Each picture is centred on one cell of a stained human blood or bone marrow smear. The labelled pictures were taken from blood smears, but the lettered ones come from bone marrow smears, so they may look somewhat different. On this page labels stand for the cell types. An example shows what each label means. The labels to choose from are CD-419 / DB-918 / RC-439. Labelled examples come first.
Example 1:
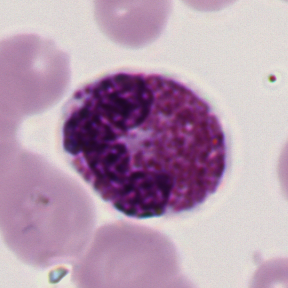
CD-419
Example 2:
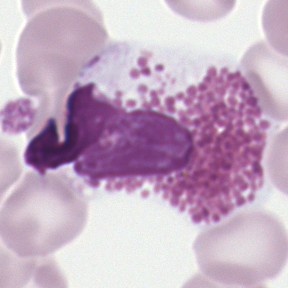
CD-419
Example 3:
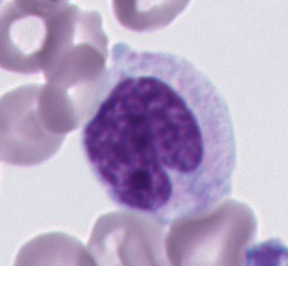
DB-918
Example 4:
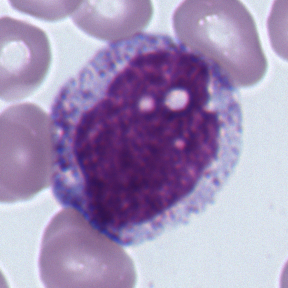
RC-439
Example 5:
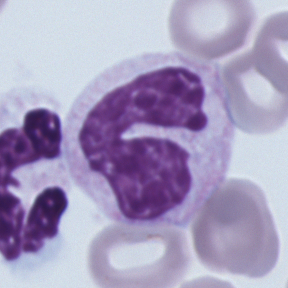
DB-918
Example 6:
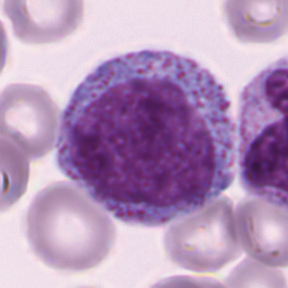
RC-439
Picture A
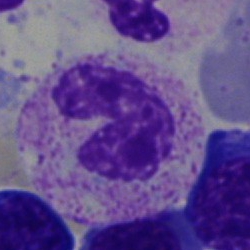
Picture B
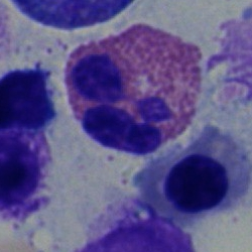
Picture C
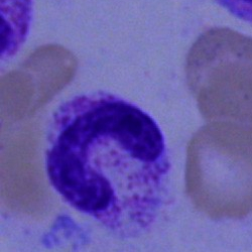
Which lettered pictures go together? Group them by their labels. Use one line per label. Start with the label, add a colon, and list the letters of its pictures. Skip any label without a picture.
CD-419: B
DB-918: A, C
